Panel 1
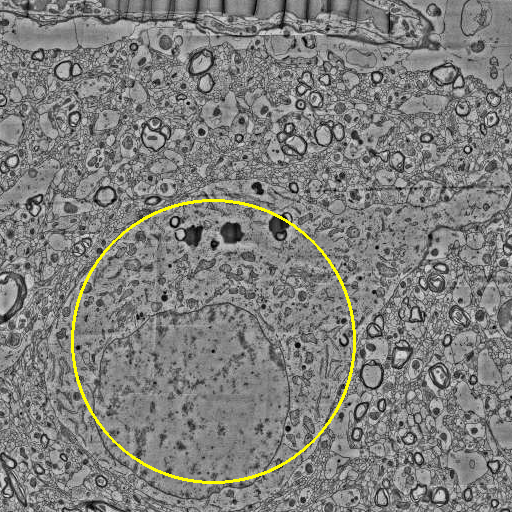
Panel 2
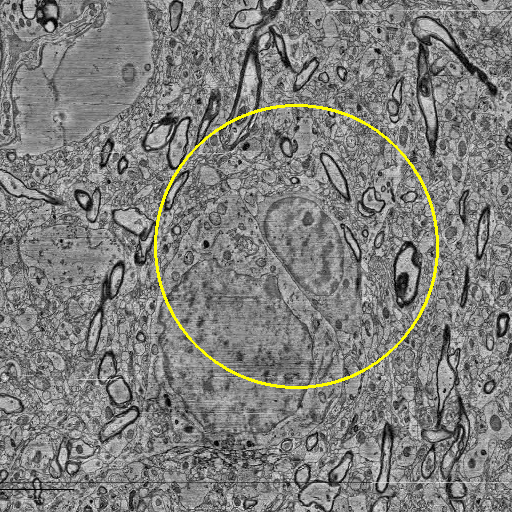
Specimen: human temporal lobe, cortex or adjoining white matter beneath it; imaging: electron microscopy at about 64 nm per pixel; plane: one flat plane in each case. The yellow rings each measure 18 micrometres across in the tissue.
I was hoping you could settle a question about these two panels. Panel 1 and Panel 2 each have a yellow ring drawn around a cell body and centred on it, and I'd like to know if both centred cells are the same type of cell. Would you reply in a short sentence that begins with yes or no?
No, they are two types of cell.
